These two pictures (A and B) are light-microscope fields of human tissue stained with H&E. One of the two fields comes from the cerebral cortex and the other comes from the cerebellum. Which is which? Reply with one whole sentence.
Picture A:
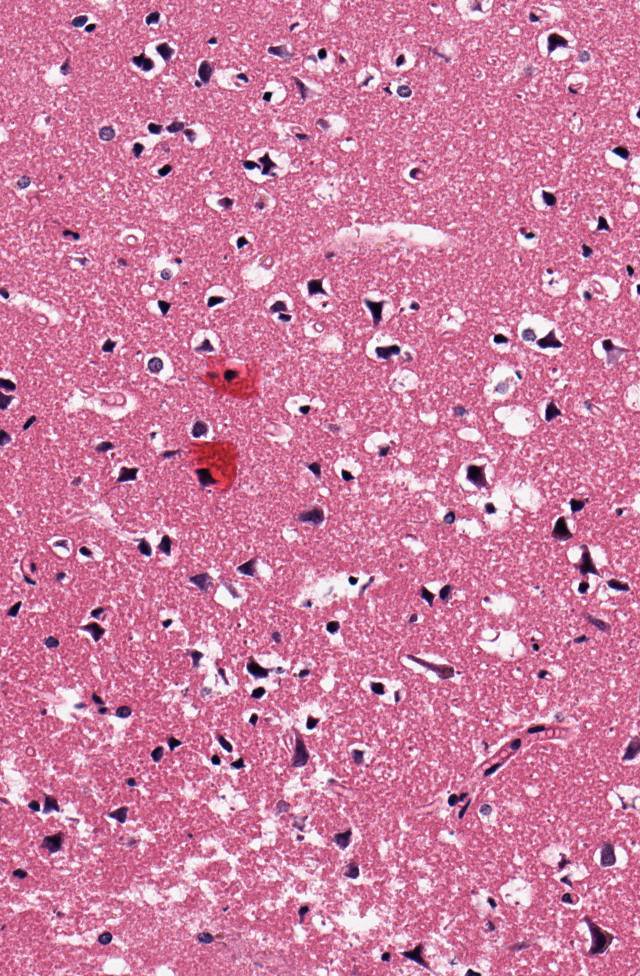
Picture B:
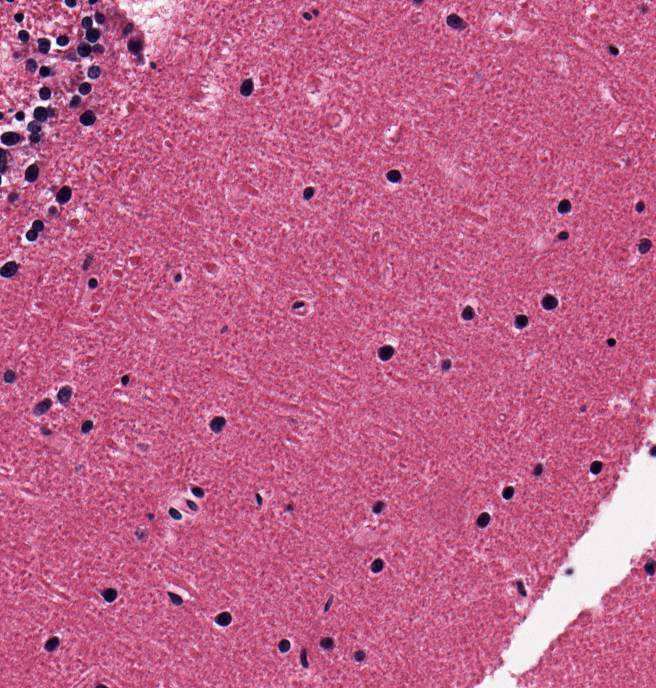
Picture A comes from the cerebral cortex and picture B comes from the cerebellum.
